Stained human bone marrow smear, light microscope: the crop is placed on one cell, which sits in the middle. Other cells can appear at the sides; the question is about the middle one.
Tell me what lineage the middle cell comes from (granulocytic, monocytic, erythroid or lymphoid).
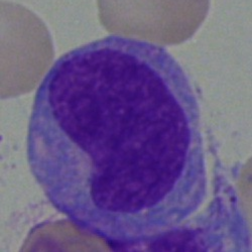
monocytic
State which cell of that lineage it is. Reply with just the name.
monocyte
